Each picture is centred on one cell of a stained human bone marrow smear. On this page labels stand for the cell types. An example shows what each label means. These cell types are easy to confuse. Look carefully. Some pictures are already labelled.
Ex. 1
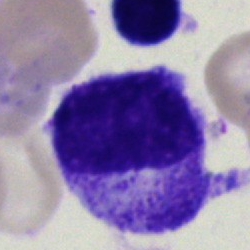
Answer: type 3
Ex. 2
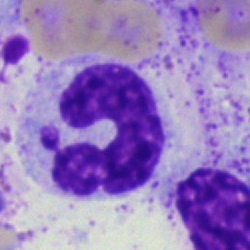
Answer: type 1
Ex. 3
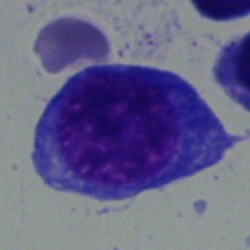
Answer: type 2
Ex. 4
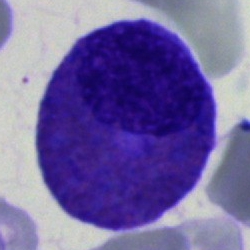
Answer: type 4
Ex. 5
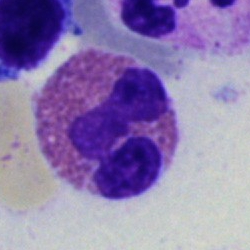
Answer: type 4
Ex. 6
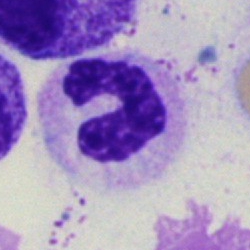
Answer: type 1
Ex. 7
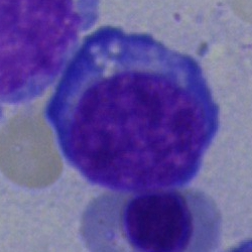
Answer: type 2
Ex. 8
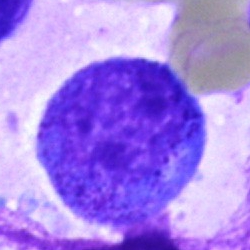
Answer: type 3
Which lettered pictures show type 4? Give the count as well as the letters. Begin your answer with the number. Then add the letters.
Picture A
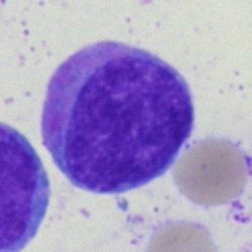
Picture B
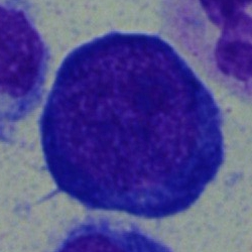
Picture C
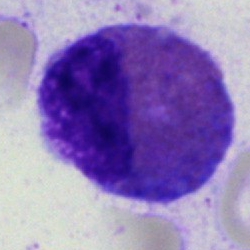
1, namely C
